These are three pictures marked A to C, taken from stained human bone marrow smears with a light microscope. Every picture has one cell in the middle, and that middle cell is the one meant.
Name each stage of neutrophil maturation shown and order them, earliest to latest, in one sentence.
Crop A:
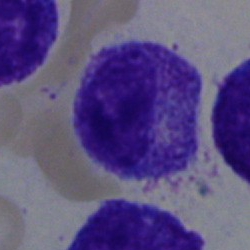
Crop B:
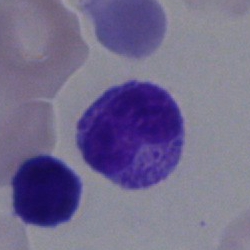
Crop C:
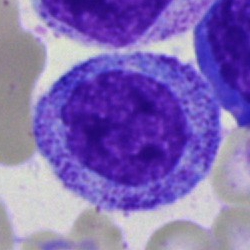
Ranked from the least mature cell to the most mature, they are crop C (a promyelocyte), crop A (a myelocyte) and crop B (a metamyelocyte).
